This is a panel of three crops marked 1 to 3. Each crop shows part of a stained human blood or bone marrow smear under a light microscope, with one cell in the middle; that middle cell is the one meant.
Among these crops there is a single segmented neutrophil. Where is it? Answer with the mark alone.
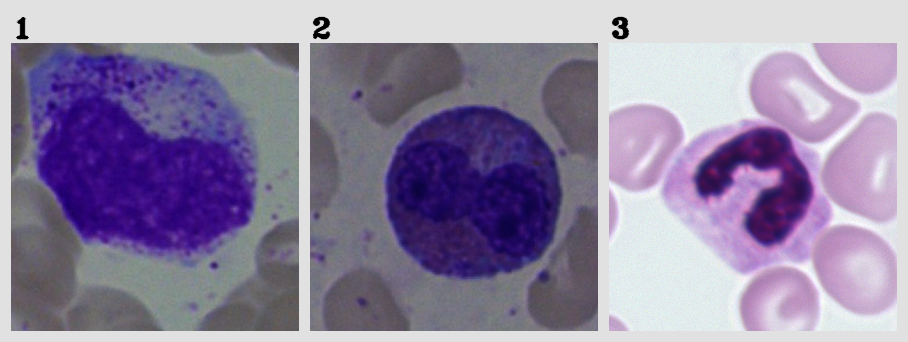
3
